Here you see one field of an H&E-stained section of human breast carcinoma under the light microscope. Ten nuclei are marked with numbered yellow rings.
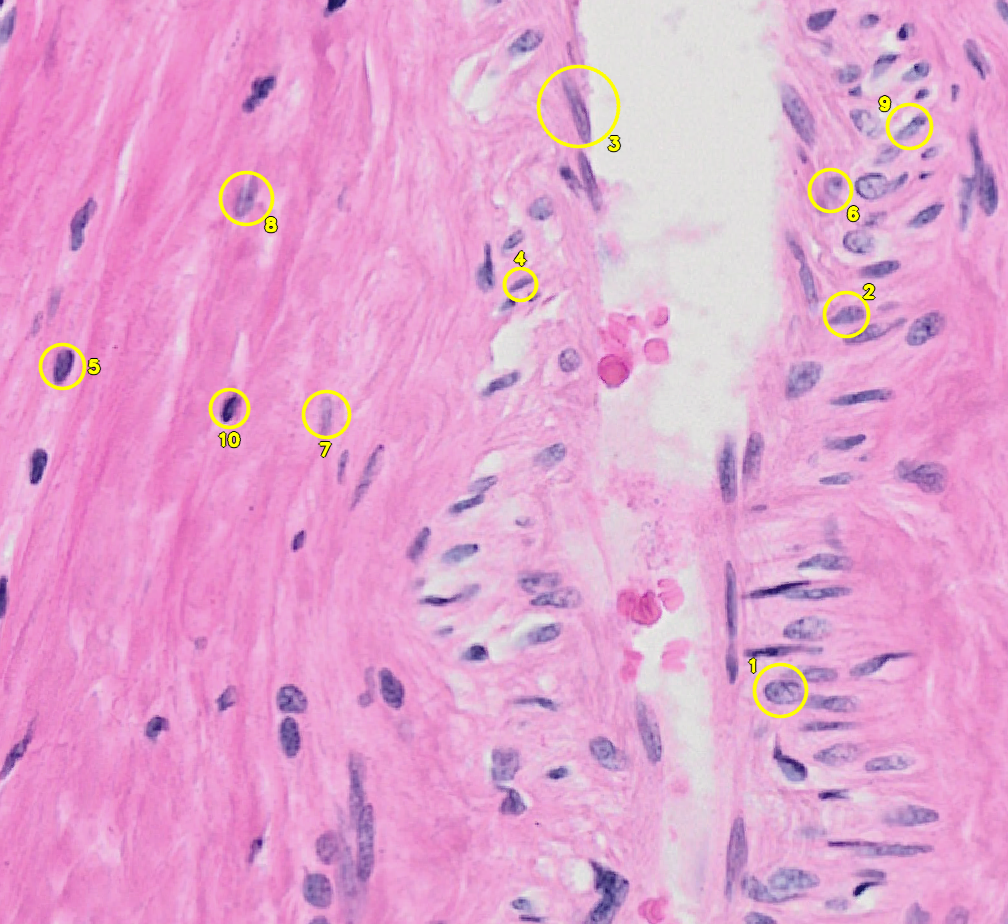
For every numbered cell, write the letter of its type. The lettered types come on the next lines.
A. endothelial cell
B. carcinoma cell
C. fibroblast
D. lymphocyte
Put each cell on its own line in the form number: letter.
1: A
2: A
3: A
4: A
5: D
6: A
7: C
8: C
9: A
10: D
